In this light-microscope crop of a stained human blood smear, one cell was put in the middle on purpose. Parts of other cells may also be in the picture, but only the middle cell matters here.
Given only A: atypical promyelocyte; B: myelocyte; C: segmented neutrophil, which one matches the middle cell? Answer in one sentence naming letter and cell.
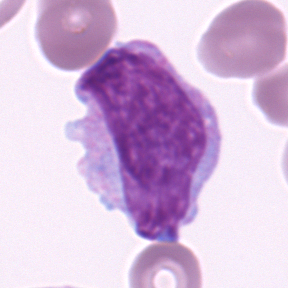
Here the right option is A, as the cell in the middle is an atypical promyelocyte.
